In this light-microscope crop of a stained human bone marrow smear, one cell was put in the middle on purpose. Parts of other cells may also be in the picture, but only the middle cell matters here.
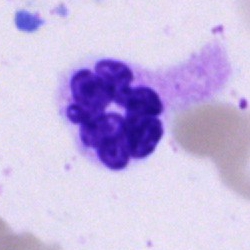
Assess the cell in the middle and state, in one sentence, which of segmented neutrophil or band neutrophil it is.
The cell nearest the centre of this crop is a segmented neutrophil.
